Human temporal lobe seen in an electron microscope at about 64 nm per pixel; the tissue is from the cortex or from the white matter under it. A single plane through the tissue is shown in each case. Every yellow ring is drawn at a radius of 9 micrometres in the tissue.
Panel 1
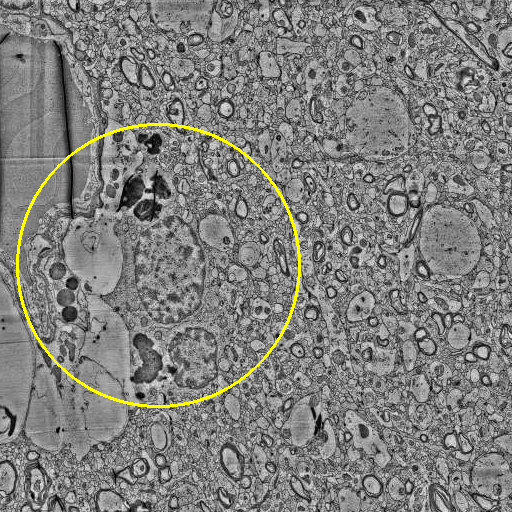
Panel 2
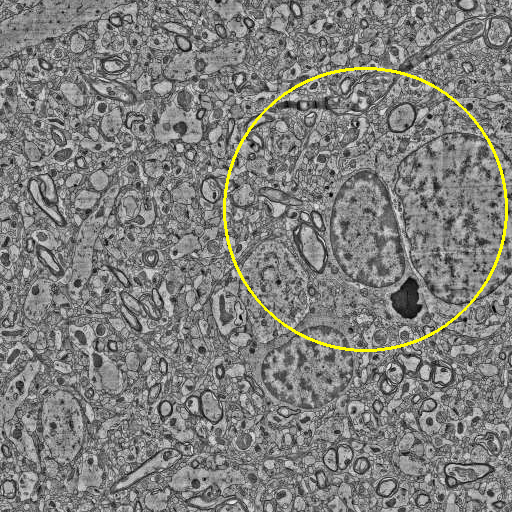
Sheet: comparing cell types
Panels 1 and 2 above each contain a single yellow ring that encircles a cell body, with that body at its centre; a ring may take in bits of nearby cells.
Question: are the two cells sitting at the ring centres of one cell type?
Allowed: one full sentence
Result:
Yes, the ring-centre cells in Panel 1 and Panel 2 are of one type.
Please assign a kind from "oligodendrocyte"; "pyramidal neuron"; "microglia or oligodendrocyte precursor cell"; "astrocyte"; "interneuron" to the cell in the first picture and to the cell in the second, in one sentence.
The first and the second cell are each an oligodendrocyte.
